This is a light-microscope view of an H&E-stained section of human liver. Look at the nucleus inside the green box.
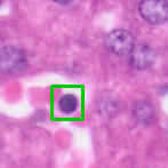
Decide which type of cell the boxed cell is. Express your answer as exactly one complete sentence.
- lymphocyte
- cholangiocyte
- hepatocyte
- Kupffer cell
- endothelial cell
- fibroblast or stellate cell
The category to which the boxed cell belongs is that of a lymphocyte.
